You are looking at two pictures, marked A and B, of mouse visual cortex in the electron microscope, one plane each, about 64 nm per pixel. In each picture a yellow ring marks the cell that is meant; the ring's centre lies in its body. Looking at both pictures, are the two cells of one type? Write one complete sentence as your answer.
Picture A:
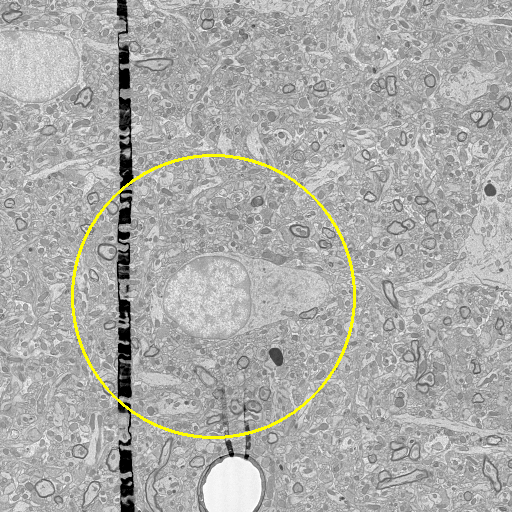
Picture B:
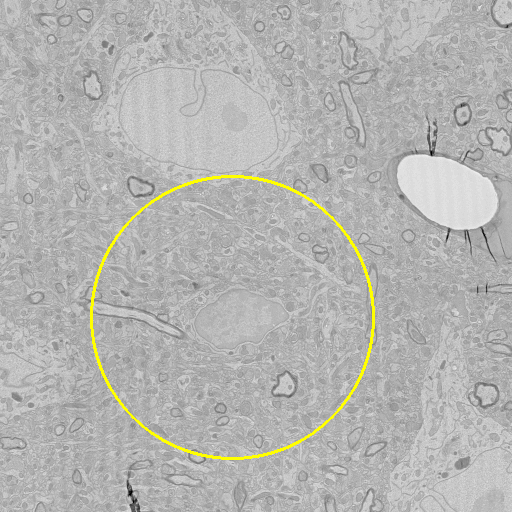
No, picture A shows an oligodendrocyte and picture B shows a microglial cell.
